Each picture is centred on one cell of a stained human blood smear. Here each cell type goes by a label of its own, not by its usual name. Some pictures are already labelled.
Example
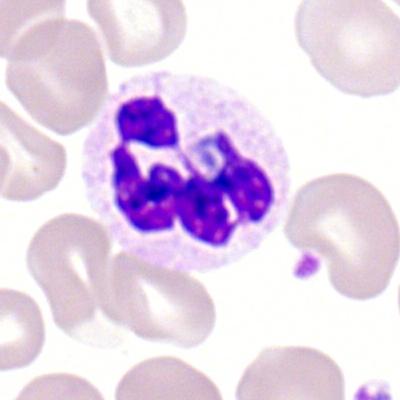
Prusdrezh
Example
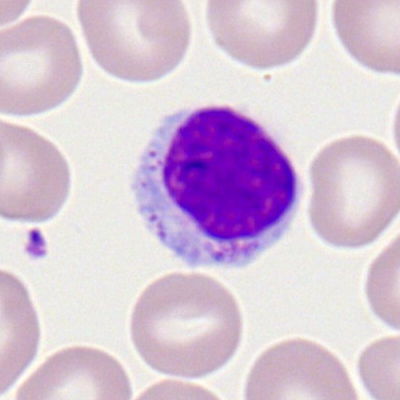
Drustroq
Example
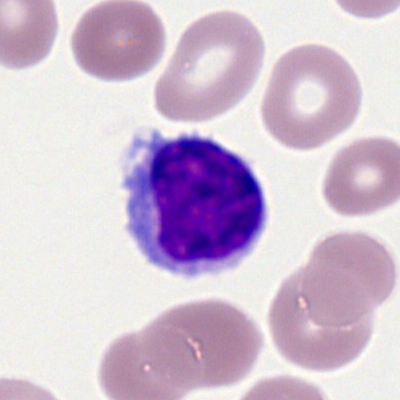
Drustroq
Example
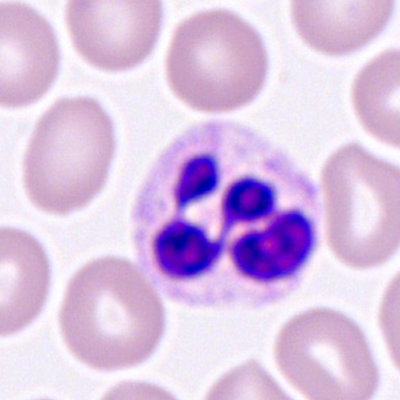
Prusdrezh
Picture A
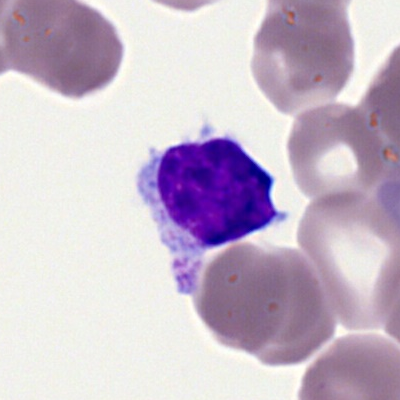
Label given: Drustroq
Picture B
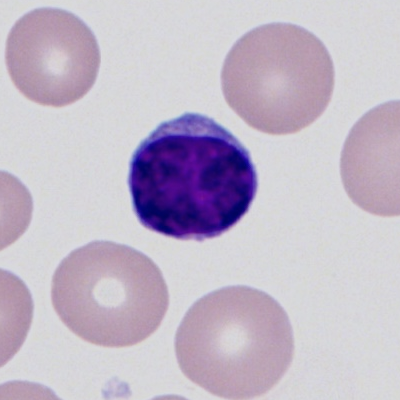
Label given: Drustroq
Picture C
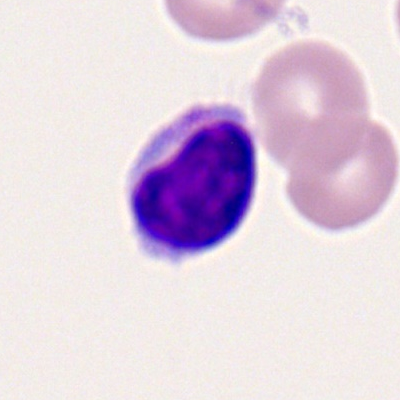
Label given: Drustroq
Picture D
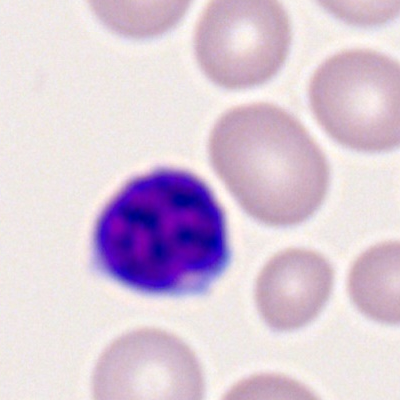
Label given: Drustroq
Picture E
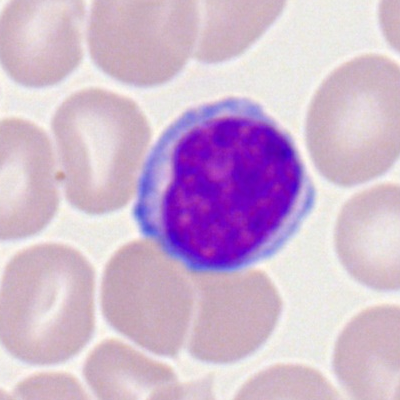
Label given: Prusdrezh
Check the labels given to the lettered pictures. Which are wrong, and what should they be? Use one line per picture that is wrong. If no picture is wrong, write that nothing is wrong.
E should be Drustroq, not Prusdrezh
